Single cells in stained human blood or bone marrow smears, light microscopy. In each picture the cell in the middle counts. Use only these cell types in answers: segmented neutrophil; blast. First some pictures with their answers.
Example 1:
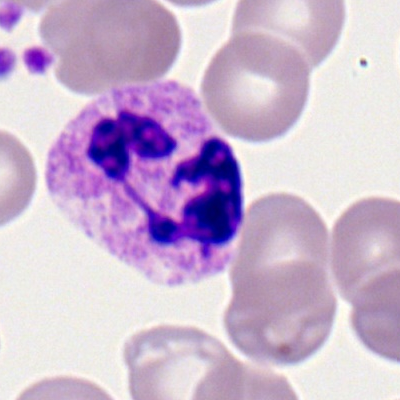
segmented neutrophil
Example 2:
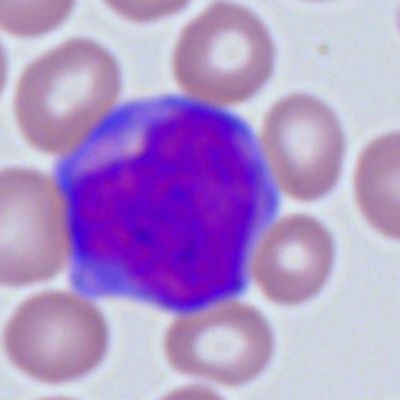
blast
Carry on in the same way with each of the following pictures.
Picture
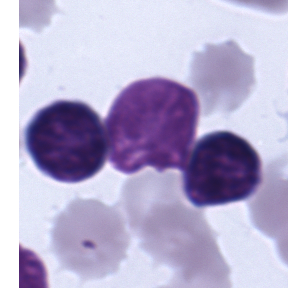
blast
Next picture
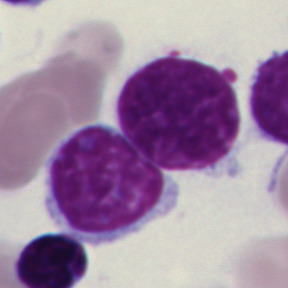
blast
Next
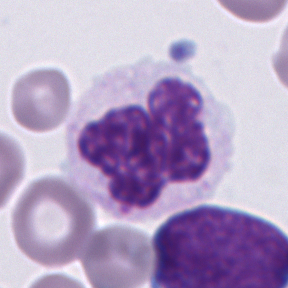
segmented neutrophil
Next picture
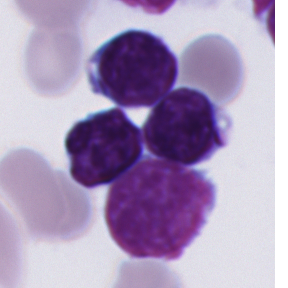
blast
